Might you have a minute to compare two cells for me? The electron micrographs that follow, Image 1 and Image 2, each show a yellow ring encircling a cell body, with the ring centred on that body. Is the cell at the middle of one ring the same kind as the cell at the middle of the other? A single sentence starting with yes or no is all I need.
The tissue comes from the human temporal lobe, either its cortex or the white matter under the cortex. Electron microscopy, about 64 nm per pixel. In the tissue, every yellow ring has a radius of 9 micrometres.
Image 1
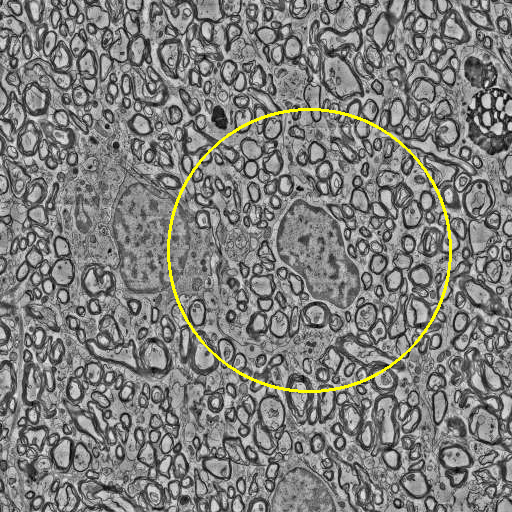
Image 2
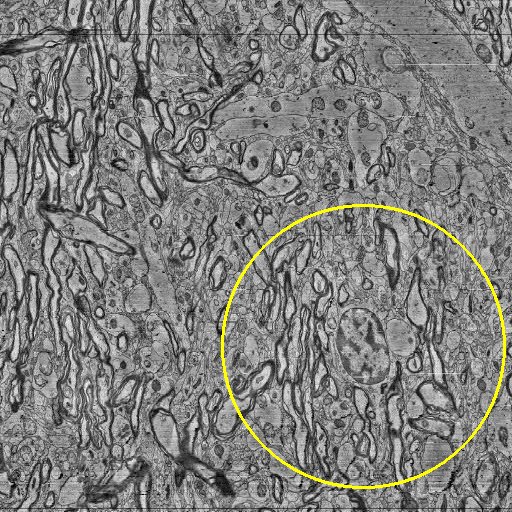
Yes, the cells in the middle of the two rings are of one shared kind.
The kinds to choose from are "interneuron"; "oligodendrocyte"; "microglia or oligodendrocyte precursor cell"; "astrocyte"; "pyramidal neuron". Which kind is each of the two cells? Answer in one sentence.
Both the first and the second picture show a microglial cell or oligodendrocyte precursor cell in the ring.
